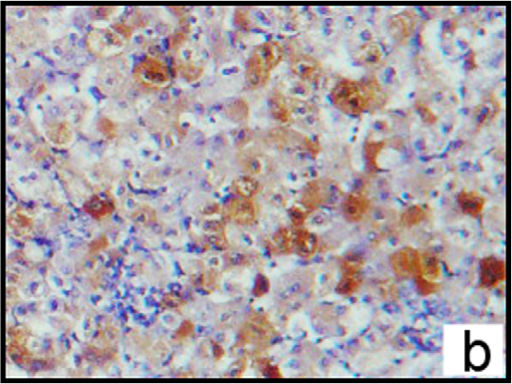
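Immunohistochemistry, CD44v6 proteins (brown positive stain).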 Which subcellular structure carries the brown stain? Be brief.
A: Cytoplasm.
